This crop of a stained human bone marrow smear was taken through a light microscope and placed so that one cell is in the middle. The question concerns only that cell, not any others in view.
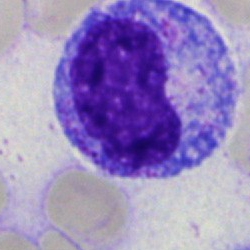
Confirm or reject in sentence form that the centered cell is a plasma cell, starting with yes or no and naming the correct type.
No, the central cell is classed as a promyelocyte and not as a plasma cell.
